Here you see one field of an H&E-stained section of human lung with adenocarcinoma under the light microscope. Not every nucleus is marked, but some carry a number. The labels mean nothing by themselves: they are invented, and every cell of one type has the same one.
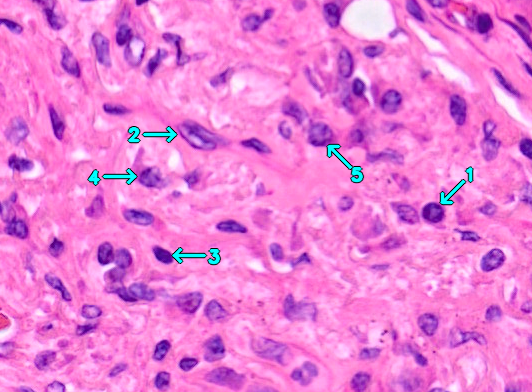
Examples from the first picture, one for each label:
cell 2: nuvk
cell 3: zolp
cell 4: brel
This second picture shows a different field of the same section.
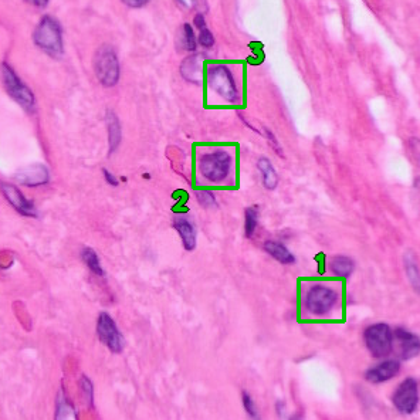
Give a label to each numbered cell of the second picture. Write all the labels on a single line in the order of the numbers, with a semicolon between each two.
brel; brel; nuvk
